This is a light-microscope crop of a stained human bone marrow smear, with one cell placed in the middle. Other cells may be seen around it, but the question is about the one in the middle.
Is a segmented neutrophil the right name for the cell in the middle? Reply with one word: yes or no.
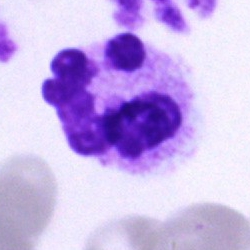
yes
